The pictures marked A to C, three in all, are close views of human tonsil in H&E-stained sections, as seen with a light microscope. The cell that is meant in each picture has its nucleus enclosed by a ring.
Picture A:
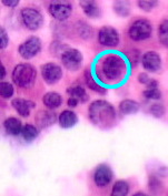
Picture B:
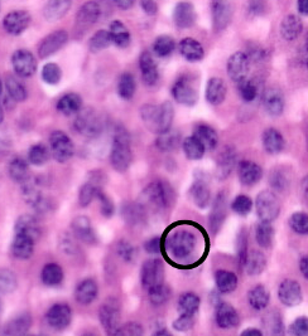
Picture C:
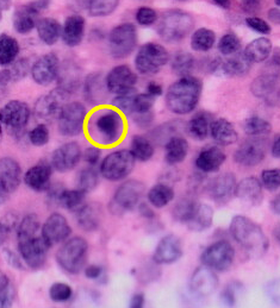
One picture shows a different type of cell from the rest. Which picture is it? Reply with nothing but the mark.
C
